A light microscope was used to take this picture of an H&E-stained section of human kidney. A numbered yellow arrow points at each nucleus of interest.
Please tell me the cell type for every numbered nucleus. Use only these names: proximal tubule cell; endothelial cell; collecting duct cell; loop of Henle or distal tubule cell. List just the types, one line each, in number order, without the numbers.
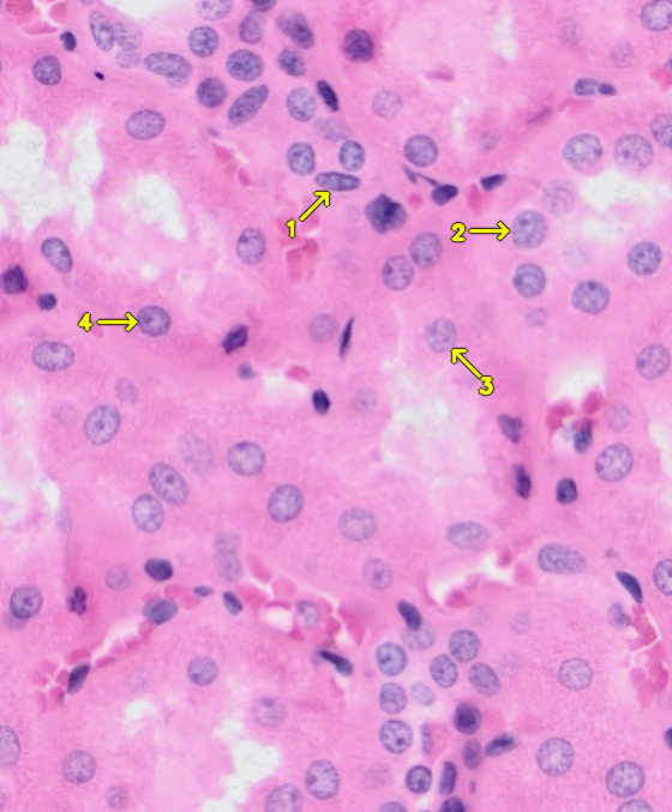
collecting duct cell
loop of Henle or distal tubule cell
proximal tubule cell
proximal tubule cell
